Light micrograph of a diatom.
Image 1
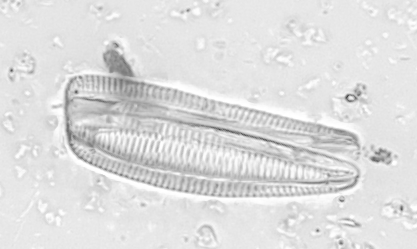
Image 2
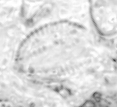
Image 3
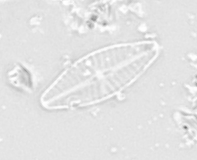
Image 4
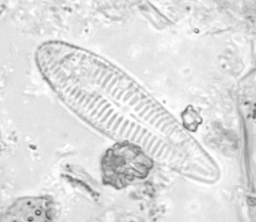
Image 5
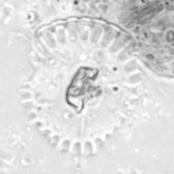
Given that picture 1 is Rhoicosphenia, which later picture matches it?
4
